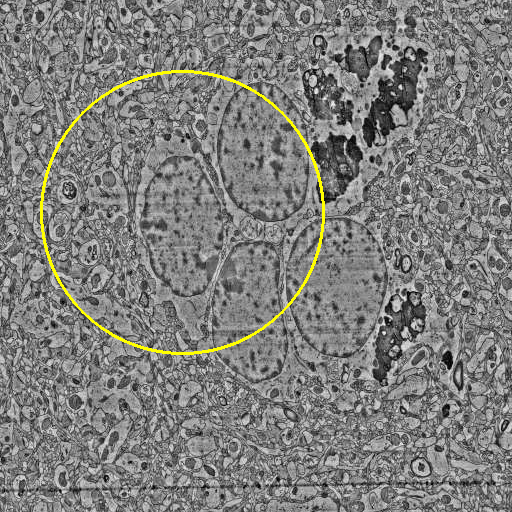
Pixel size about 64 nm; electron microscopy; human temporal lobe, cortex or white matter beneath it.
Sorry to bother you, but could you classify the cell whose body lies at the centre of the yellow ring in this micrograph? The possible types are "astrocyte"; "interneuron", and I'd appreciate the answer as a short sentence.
The ringed cell body is that of an astrocyte.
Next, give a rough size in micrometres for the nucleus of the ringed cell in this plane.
Clearly longer than it is wide in this plane, the nucleus measures roughly 9 by 5 micrometres.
